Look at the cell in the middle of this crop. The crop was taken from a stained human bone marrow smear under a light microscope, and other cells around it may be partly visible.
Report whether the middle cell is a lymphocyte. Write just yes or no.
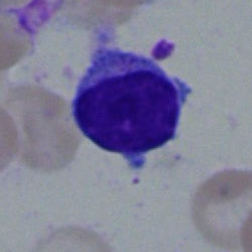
yes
